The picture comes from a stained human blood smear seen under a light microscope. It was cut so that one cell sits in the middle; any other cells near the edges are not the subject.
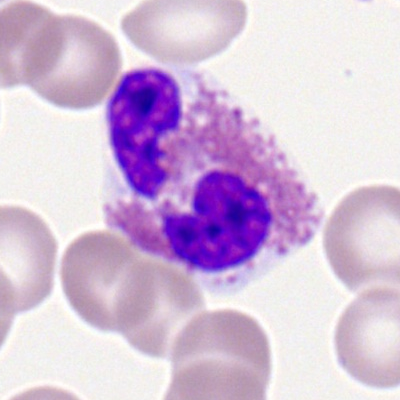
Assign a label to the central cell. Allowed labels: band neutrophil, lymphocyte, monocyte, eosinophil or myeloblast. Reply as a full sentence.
In short, the cell at the center is an eosinophil.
